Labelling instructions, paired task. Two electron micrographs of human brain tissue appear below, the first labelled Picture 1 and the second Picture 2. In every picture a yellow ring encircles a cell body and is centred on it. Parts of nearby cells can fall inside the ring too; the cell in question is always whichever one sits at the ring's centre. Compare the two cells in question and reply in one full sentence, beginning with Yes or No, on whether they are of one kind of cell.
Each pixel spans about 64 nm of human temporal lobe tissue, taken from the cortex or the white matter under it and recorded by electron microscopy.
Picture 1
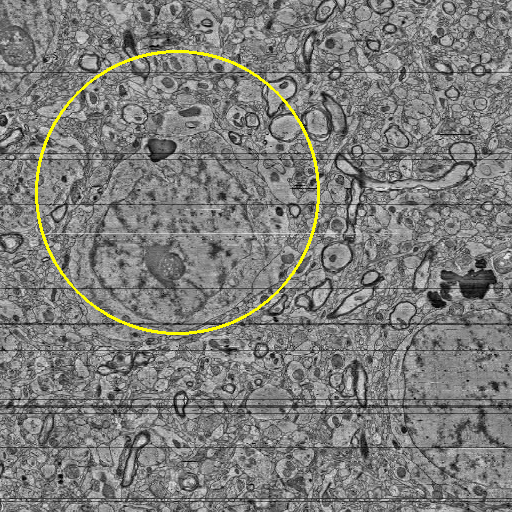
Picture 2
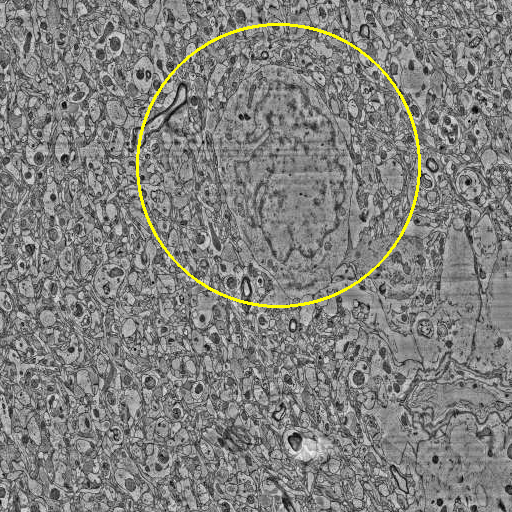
Yes, the two cells at the ring centres in Picture 1 and Picture 2 are of one kind.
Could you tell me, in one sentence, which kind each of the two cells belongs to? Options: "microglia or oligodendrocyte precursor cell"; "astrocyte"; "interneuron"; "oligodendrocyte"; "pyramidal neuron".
The first and the second cell are each an interneuron.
